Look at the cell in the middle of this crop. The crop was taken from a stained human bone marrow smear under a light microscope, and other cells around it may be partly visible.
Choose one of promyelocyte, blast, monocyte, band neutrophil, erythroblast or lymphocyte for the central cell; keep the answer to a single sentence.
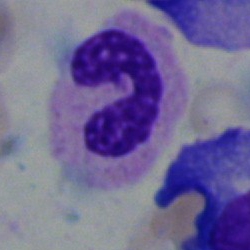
The cell the crop is centered on is a band neutrophil.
